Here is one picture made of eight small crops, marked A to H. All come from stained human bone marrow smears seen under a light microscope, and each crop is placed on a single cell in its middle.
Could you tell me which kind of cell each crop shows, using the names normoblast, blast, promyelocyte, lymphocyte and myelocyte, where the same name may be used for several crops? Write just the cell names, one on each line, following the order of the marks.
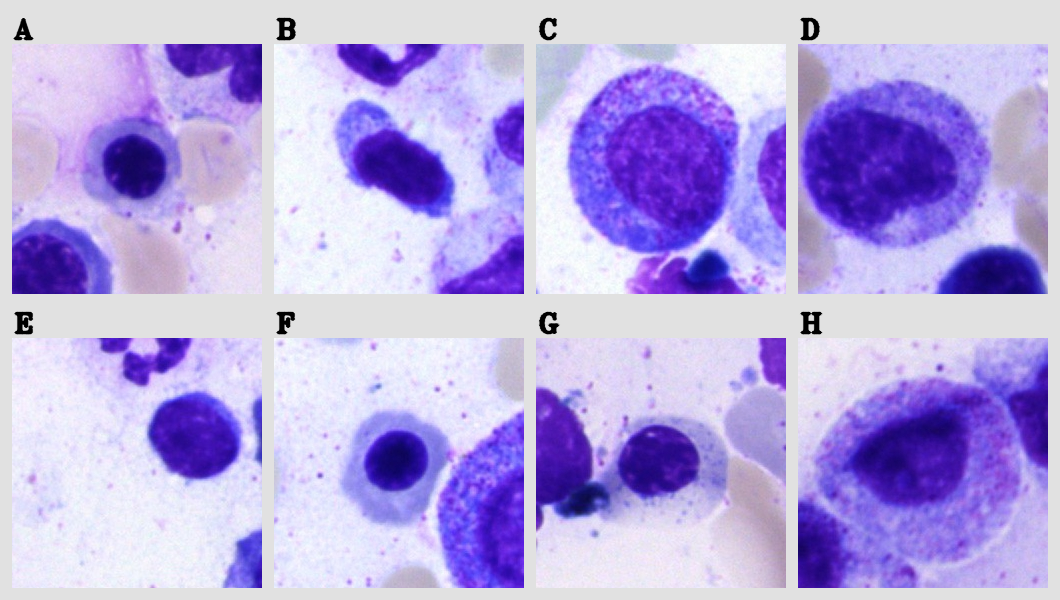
normoblast
lymphocyte
promyelocyte
promyelocyte
lymphocyte
normoblast
normoblast
promyelocyte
